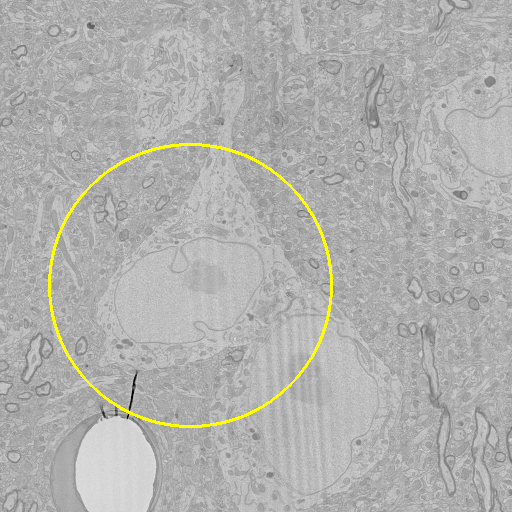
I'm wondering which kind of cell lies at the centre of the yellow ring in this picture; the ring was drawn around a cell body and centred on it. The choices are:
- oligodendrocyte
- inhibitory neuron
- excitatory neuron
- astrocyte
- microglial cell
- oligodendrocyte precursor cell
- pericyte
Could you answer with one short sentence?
At the centre of the ring lies an excitatory neuron.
